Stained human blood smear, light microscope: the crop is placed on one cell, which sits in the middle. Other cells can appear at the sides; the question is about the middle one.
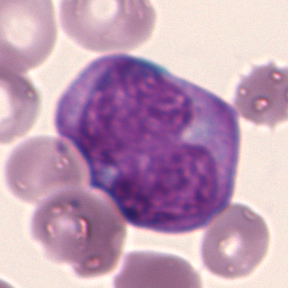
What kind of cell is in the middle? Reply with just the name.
atypical promyelocyte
